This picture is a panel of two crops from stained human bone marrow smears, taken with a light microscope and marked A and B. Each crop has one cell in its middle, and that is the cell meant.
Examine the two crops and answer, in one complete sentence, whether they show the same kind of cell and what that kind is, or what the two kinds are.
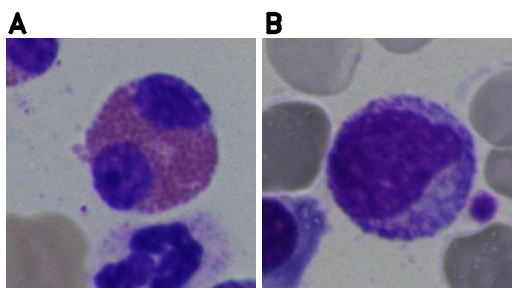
No, as for crop A, it shows an eosinophil, and crop B shows a myelocyte.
